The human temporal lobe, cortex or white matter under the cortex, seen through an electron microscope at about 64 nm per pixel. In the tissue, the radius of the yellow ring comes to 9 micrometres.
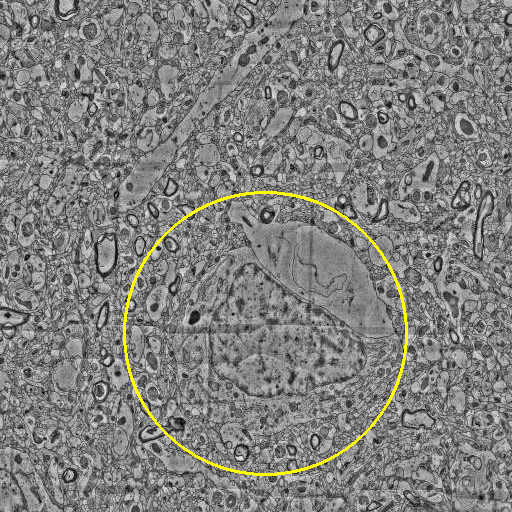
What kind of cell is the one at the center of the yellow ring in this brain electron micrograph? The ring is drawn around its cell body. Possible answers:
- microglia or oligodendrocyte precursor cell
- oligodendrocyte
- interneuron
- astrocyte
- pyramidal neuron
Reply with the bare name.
interneuron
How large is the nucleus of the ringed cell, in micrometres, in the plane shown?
Approximately 10 x 8 micrometres in this plane.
